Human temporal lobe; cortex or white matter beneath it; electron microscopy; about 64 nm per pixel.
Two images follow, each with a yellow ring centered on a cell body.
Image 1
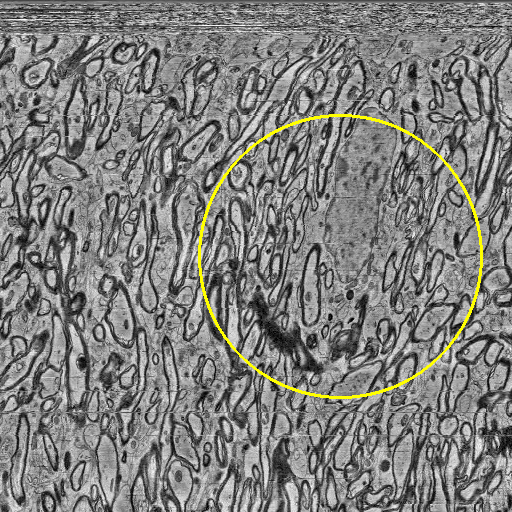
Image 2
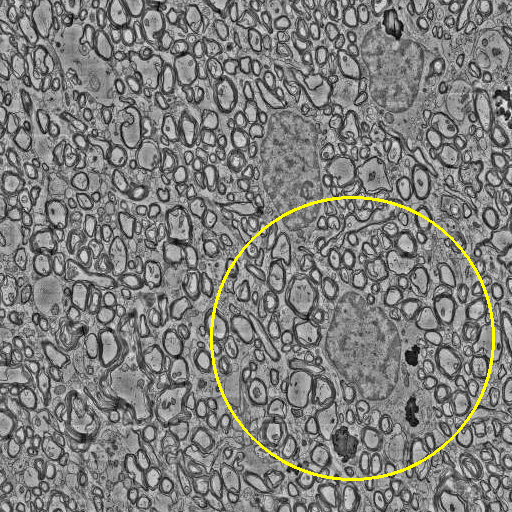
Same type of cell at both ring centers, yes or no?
no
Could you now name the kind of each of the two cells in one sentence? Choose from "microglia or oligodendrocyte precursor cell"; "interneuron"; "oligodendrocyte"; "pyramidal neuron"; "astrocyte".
The first ring encloses a microglial cell or oligodendrocyte precursor cell; the second ring encloses an oligodendrocyte.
